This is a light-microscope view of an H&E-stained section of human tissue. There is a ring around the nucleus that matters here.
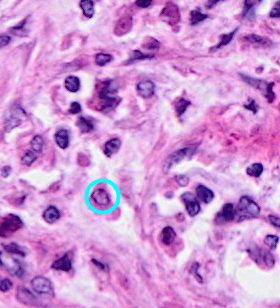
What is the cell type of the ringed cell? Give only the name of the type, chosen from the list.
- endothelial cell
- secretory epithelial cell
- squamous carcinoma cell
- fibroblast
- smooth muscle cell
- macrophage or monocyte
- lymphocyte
macrophage or monocyte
